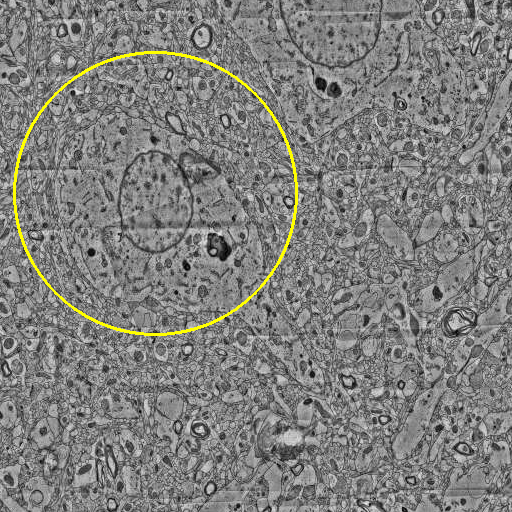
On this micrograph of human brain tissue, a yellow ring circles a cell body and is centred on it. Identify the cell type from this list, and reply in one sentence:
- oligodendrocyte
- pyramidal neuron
The cell at the centre is a pyramidal neuron.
